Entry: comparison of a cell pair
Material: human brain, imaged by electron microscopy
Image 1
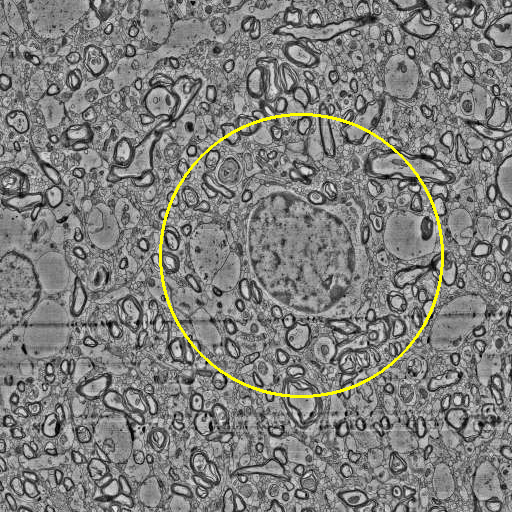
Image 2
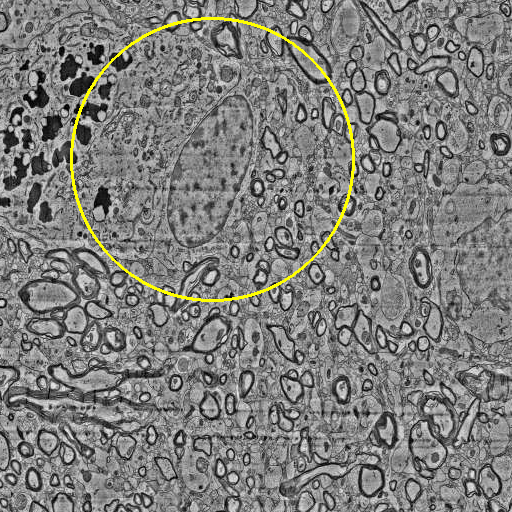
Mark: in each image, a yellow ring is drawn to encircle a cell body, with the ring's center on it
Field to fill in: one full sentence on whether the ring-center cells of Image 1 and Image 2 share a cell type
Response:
Yes, Image 1 and Image 2 each show a ring-center cell of one shared type.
